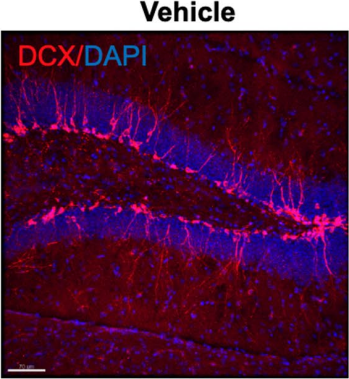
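This is a section of the hippocampal dentate gyrus, in which a dense, curved band of tightly packed blue nuclei forms the V-shaped granule cell layer. Many of these cells send long, thin red processes radially through the granule layer and out into the paler, less cellular molecular layer beyond, where they branch. Outside the granule band the blue nuclei are scattered sparsely.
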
